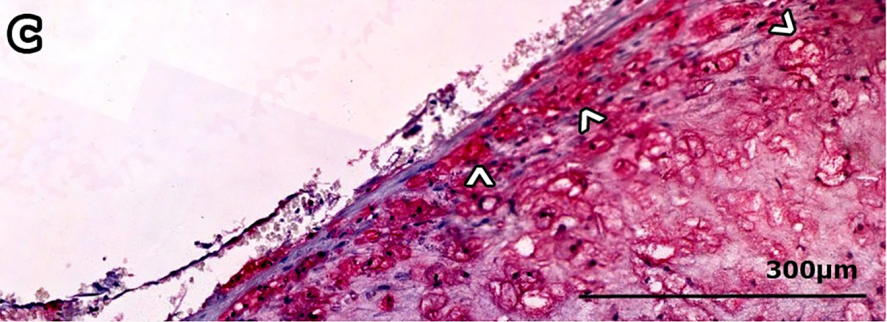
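This high-power view of an atherosclerotic plaque shows numerous macrophages lying just beneath the luminal surface. The macrophages are large, rounded cells whose cytoplasm stains red and is often pale and vacuolated, giving them a foamy appearance, with small dark nuclei. Above them a thin band of bluish fibrous tissue with elongated, flattened nuclei borders the lumen. Deeper in the plaque the red cells become paler and more loosely packed.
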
